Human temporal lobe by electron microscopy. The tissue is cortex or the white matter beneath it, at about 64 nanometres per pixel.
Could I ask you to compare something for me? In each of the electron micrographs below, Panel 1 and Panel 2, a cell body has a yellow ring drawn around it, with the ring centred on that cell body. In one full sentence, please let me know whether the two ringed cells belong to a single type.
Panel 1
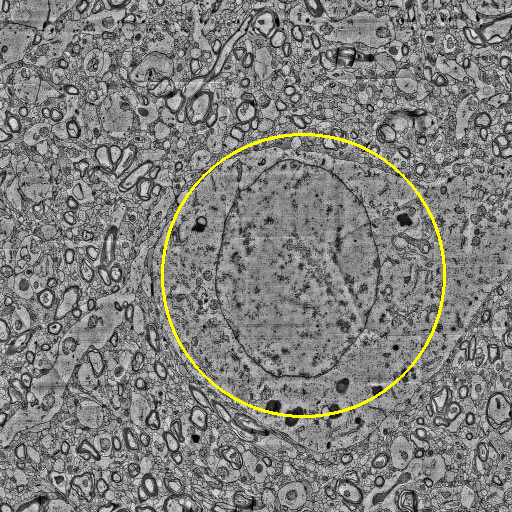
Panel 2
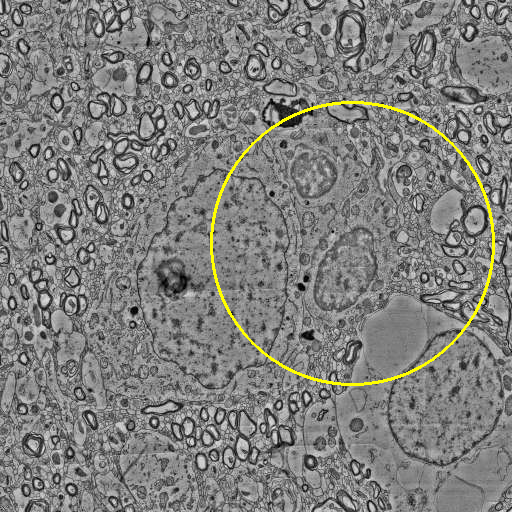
No, the two cells at the centres of the rings are of two types.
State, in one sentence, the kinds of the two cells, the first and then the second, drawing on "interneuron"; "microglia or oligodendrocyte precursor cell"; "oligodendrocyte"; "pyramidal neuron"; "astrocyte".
The ring in the second picture is centred on an oligodendrocyte, the ring in the first on a pyramidal neuron.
